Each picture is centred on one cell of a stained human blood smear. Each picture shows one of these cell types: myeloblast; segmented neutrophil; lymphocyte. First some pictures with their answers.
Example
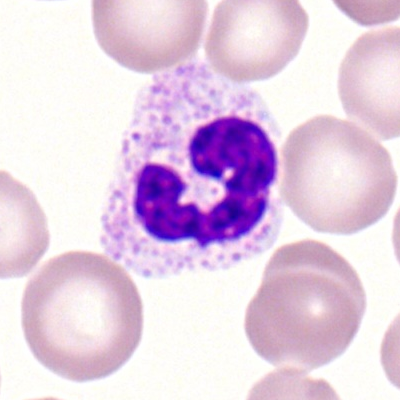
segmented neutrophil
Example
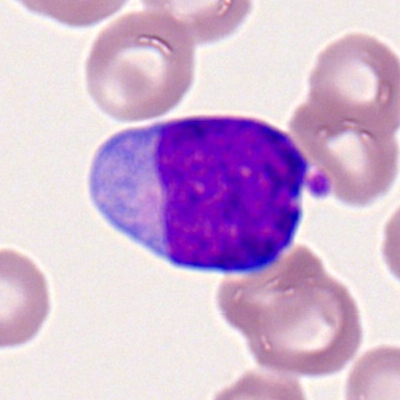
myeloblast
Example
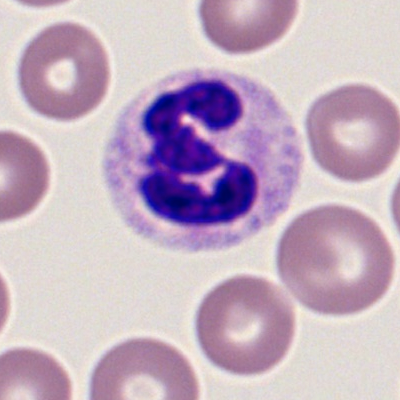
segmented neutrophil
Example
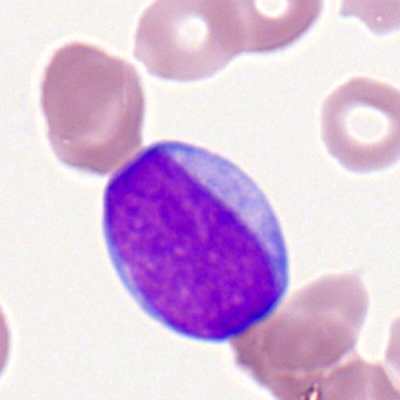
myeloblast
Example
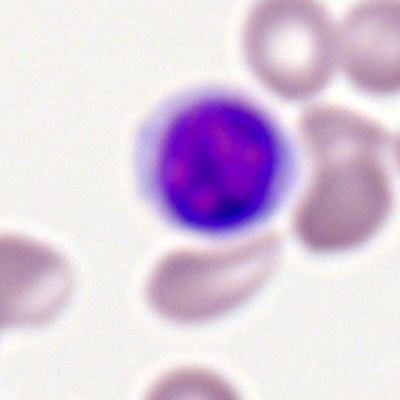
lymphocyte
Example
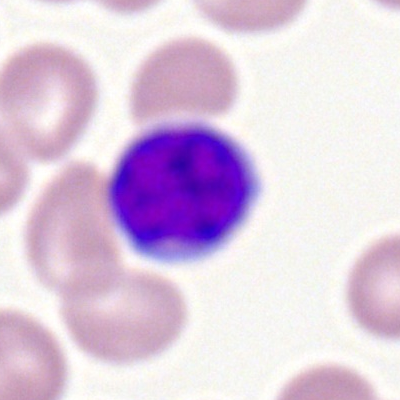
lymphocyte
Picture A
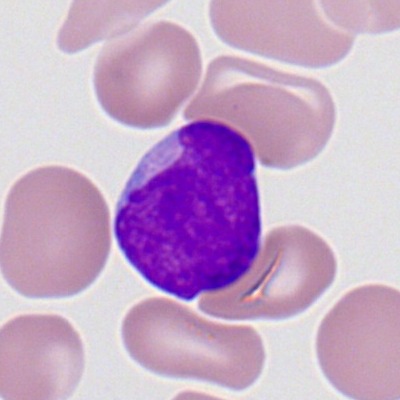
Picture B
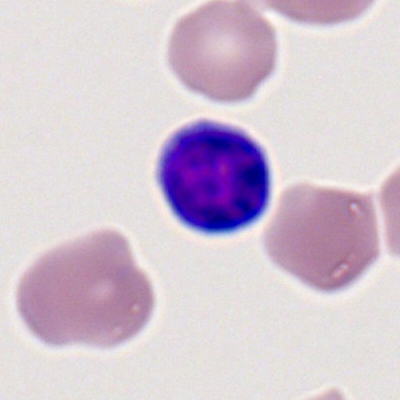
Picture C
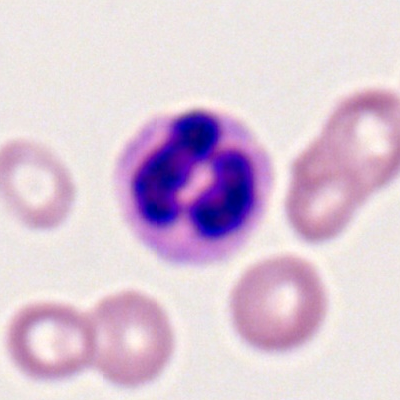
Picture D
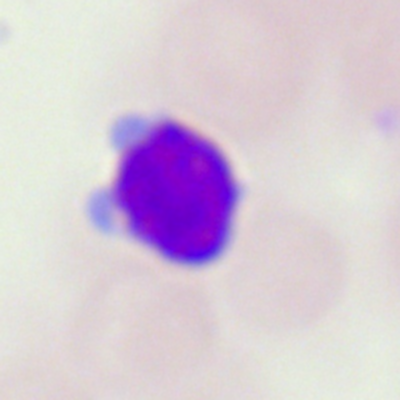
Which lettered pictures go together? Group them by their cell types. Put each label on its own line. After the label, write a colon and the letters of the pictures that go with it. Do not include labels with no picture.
myeloblast: A
segmented neutrophil: C
lymphocyte: B, D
